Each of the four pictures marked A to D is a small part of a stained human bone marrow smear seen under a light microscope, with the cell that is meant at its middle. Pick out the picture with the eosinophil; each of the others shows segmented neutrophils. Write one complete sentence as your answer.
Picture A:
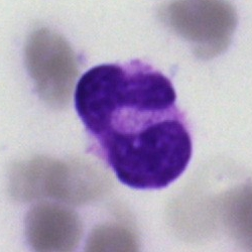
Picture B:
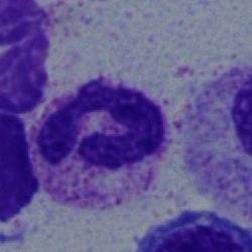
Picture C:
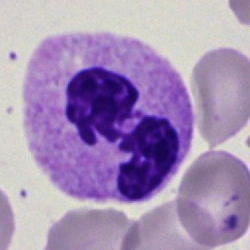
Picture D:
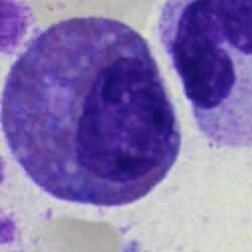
Picture D is the one that shows the eosinophil.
